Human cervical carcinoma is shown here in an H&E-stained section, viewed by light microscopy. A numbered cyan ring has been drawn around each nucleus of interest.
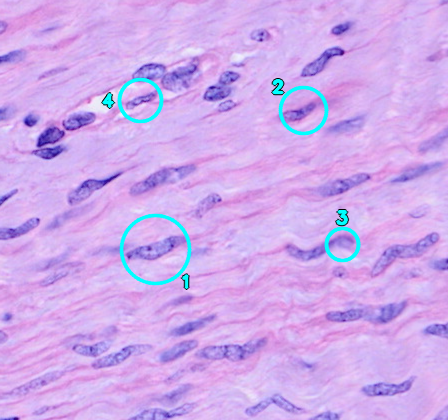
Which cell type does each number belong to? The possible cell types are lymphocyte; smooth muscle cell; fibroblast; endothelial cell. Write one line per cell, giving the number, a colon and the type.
1: smooth muscle cell
2: smooth muscle cell
3: smooth muscle cell
4: endothelial cell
